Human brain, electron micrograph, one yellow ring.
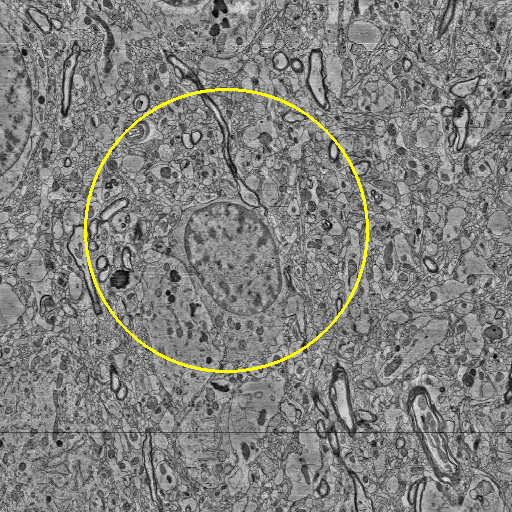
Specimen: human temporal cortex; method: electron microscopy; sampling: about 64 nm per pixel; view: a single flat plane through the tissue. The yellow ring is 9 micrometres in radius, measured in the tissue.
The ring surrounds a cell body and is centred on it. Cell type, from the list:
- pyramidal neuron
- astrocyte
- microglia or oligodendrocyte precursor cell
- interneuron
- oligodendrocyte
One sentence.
The yellow ring circles an oligodendrocyte.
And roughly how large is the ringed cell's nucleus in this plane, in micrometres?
In this plane the nucleus is about 8 micrometres by 5.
